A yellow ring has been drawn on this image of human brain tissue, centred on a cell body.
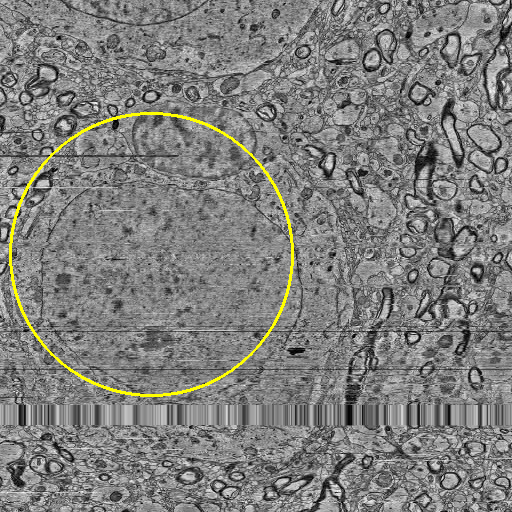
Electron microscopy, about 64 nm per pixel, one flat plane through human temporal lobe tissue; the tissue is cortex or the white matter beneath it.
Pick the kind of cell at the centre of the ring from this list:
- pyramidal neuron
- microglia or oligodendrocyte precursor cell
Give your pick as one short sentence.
The centre of the ring holds a pyramidal neuron.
